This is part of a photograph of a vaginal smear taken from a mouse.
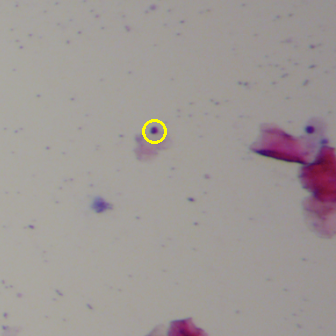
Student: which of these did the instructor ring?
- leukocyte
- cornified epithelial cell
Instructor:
The cell I ringed is a leukocyte.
